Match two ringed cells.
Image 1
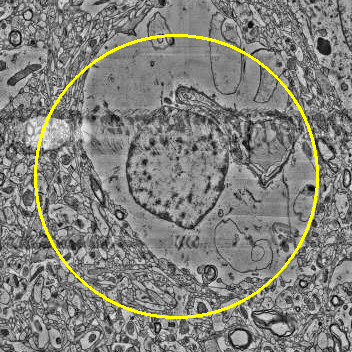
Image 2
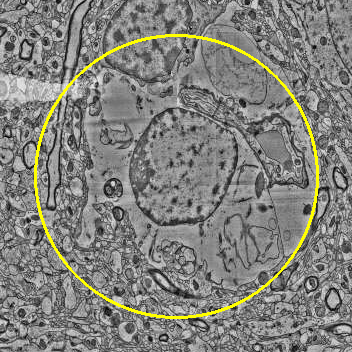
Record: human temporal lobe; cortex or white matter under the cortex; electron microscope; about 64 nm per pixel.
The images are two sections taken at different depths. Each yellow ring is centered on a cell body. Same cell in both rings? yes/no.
yes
